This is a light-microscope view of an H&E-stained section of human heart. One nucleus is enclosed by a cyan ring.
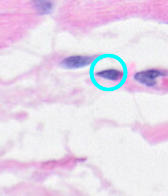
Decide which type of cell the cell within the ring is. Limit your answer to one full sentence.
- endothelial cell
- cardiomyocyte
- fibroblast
In the context of this tissue, the cell within the ring is a fibroblast.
